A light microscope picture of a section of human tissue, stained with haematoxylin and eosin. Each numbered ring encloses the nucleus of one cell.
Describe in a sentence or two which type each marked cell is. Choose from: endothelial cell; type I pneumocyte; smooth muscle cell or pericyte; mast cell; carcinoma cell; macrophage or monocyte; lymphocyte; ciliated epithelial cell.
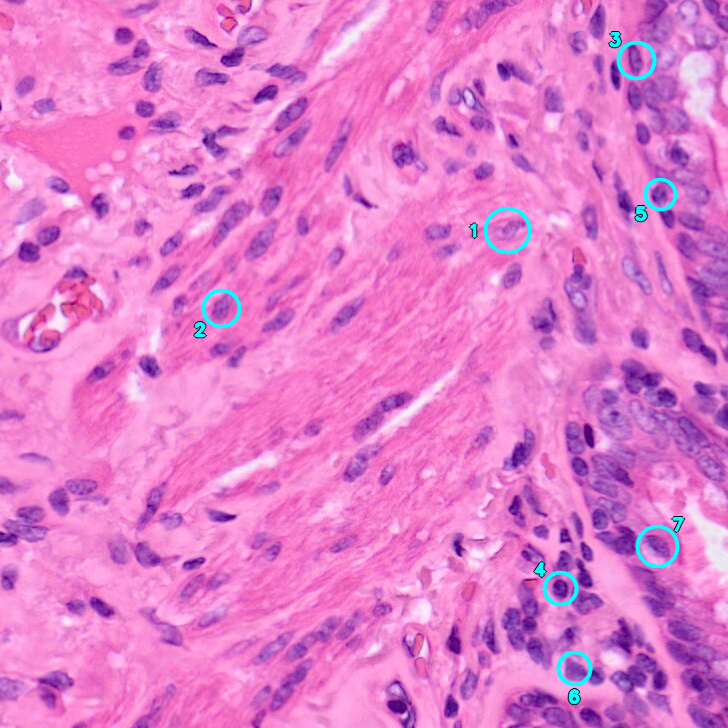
Cell 1 is a smooth muscle cell or pericyte, cell 2 is a smooth muscle cell or pericyte, cell 3 is a ciliated epithelial cell, cell 4 is a lymphocyte, cell 5 is a lymphocyte, cell 6 is a lymphocyte and cell 7 is a ciliated epithelial cell.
